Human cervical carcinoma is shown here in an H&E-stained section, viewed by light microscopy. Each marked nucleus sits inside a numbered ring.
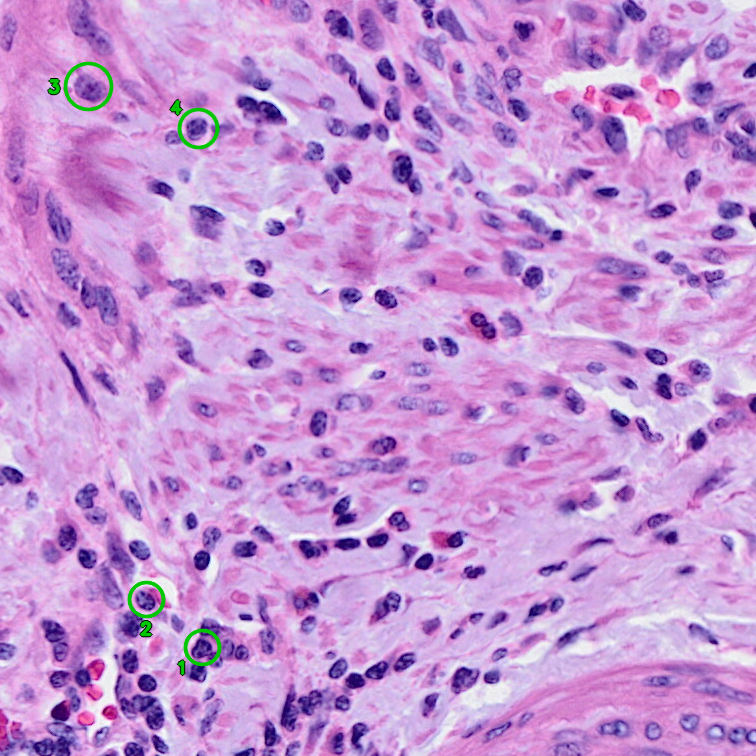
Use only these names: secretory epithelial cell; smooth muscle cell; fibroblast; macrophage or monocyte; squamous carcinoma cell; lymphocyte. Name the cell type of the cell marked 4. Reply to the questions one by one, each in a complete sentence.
Numbered cell 4 is a lymphocyte in this tissue section.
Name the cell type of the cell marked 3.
At number 3, the marked cell is a macrophage or monocyte.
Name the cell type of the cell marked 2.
Looking at the numbered marks, cell 2 is a lymphocyte.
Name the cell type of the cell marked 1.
The cell referenced by the number 1 is a lymphocyte in this field.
